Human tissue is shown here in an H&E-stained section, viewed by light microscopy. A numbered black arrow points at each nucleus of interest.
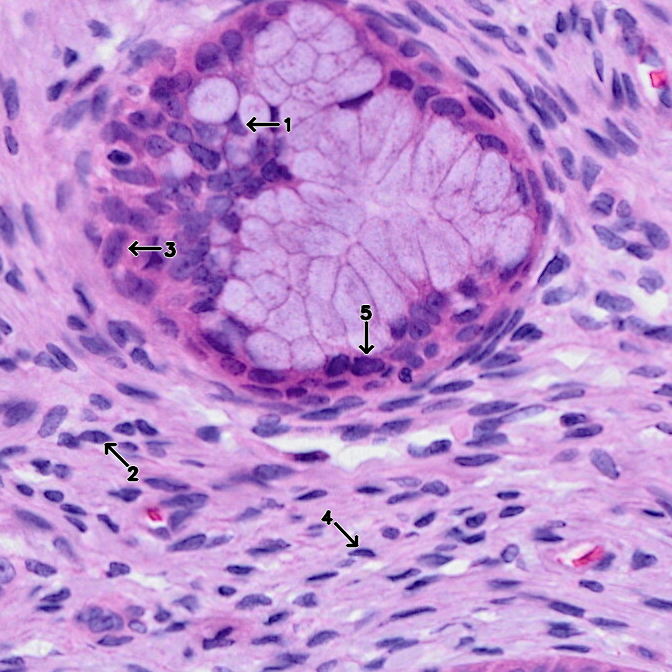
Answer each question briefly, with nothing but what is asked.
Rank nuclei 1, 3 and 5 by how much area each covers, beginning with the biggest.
3, 5, 1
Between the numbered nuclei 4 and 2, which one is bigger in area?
2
